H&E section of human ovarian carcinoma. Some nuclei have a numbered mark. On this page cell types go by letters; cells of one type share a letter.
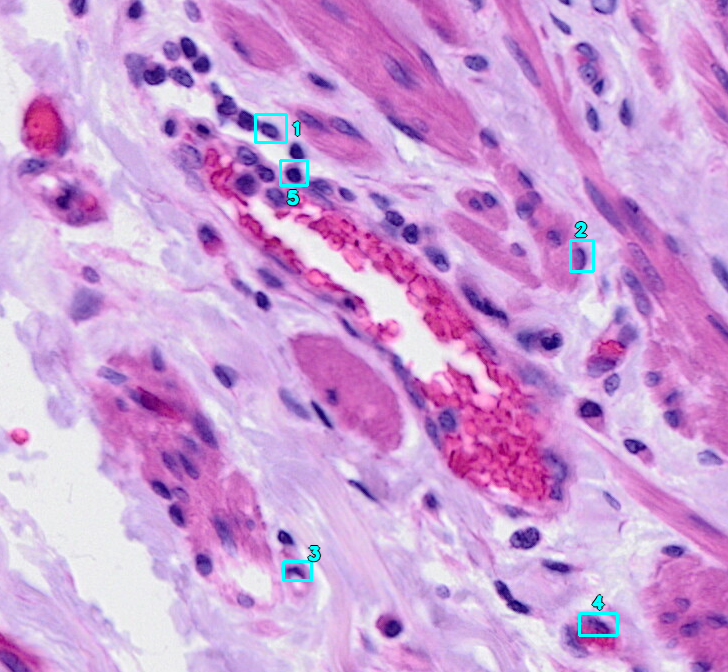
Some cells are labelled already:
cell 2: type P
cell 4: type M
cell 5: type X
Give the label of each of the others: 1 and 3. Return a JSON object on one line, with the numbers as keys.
{"1": "type X", "3": "type M"}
